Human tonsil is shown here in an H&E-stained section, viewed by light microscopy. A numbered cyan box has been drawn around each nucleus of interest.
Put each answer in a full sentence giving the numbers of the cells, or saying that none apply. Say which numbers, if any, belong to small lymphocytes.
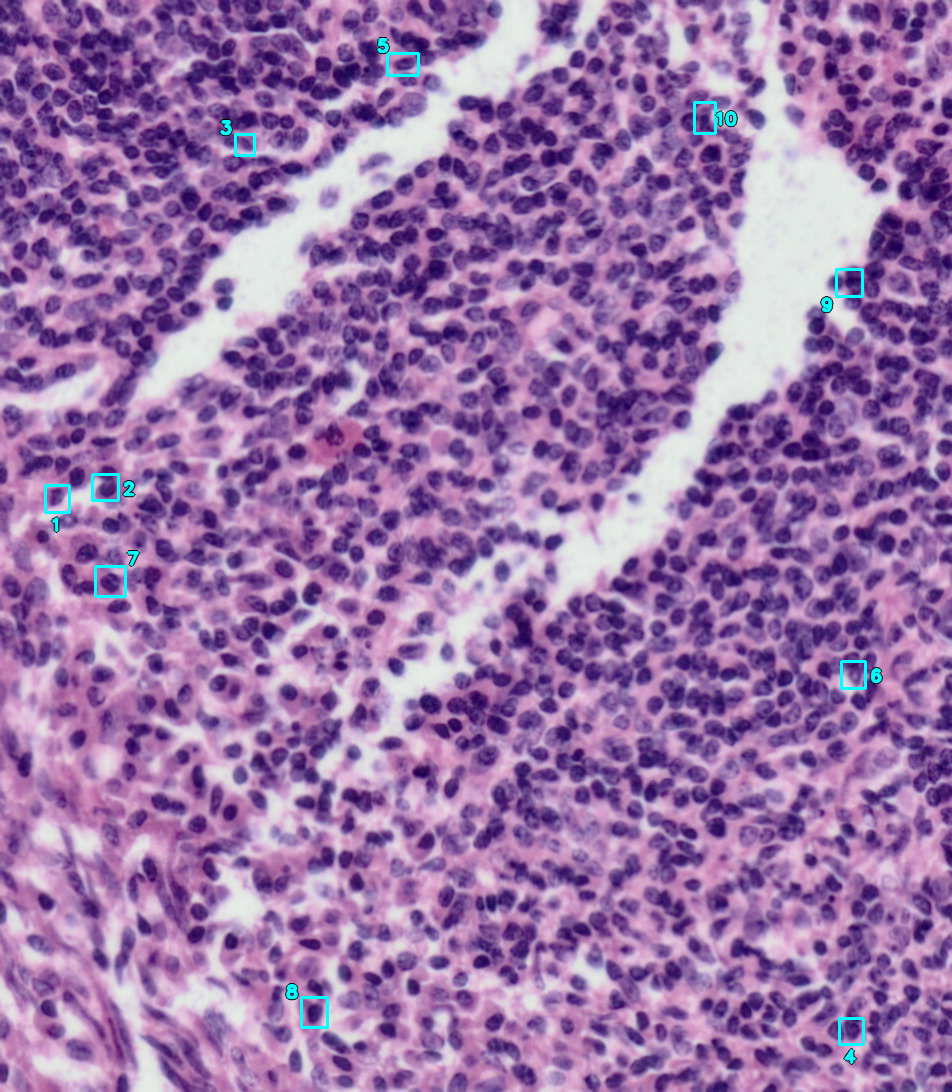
The cells referred to by numbers 3, 4, 5, 6, 9 and 10 are small lymphocytes.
